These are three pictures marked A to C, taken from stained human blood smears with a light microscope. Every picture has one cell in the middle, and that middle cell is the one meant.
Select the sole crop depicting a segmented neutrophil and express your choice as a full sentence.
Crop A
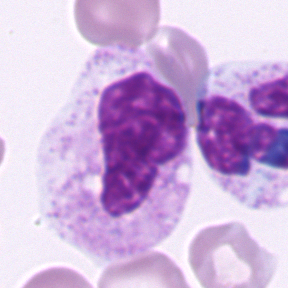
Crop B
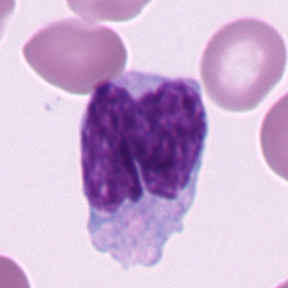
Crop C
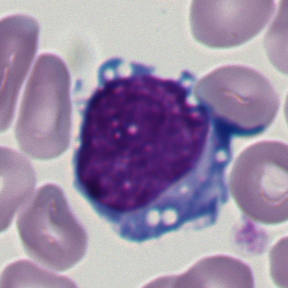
The crop carrying a segmented neutrophil at the center is crop A.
